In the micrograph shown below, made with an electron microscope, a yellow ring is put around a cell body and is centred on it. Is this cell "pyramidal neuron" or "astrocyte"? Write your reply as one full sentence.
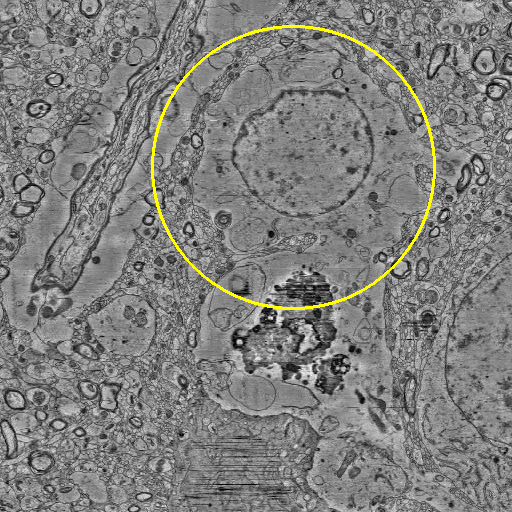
In the micrograph, an astrocyte is the cell at the centre of the yellow ring.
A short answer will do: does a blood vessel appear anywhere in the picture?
Yes, the picture includes a blood vessel.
